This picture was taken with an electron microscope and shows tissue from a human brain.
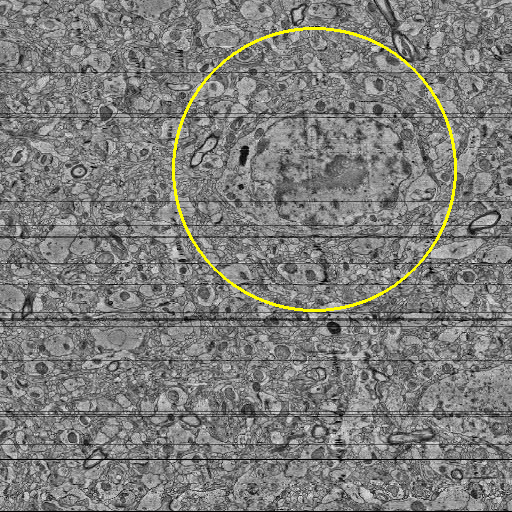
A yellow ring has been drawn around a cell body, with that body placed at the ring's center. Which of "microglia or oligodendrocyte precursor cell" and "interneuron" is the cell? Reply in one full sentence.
In this picture, an interneuron is the cell at the center of the yellow ring.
